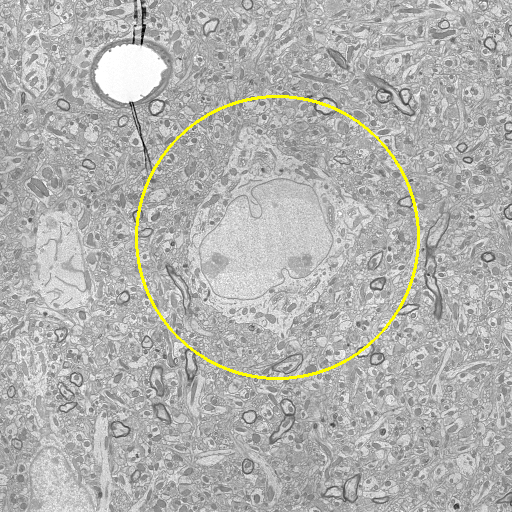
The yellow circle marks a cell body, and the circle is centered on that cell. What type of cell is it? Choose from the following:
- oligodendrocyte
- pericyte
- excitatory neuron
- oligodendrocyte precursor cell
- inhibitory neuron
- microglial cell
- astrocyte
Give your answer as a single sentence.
This cell body belongs to an excitatory neuron.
